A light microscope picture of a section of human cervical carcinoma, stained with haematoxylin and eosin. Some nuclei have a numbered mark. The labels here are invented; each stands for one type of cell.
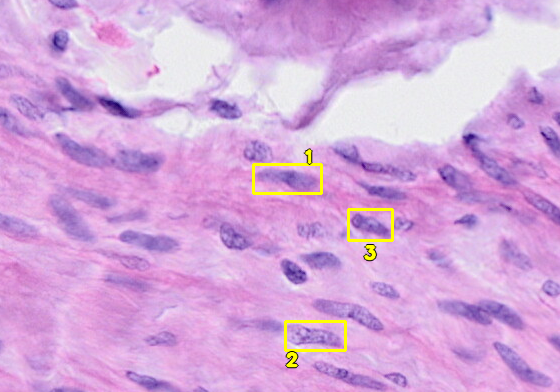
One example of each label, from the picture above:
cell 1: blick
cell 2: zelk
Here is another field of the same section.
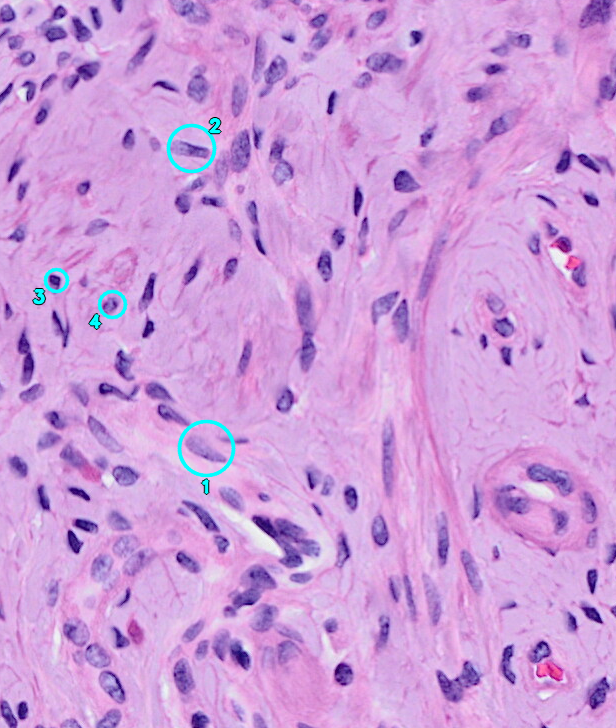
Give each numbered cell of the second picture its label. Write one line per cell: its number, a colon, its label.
1: zelk
2: zelk
3: zelk
4: blick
